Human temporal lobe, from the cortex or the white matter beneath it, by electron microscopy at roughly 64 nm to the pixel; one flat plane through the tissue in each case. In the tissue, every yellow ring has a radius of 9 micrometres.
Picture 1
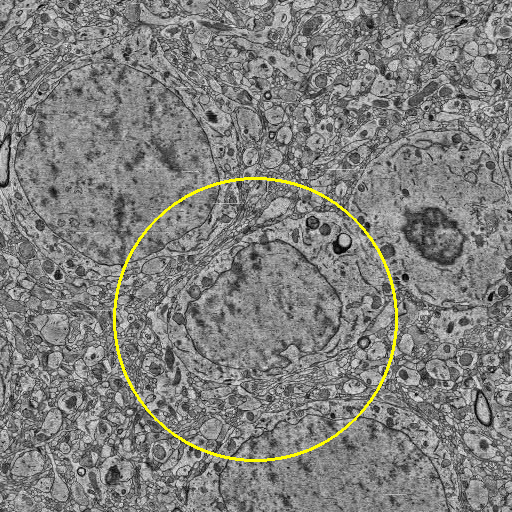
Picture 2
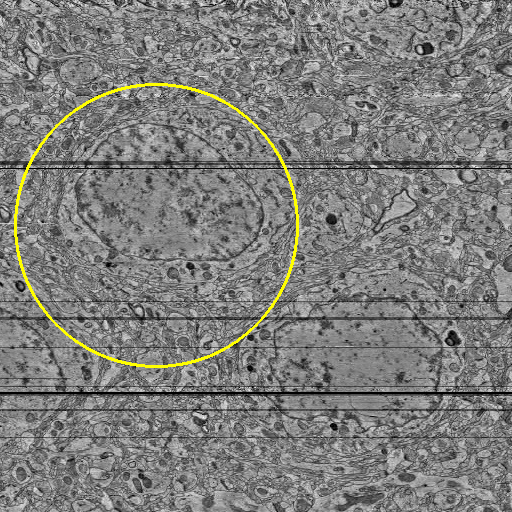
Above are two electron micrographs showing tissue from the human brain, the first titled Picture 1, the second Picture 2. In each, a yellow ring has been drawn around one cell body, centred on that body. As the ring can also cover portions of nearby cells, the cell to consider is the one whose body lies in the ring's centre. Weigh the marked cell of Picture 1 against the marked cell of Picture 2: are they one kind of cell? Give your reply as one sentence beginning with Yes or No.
Yes, the two cells sitting at the ring centres in the pictures are of one kind.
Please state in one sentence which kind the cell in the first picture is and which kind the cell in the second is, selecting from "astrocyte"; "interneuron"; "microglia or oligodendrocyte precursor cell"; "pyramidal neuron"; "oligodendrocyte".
In each picture the ringed cell is a pyramidal neuron.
